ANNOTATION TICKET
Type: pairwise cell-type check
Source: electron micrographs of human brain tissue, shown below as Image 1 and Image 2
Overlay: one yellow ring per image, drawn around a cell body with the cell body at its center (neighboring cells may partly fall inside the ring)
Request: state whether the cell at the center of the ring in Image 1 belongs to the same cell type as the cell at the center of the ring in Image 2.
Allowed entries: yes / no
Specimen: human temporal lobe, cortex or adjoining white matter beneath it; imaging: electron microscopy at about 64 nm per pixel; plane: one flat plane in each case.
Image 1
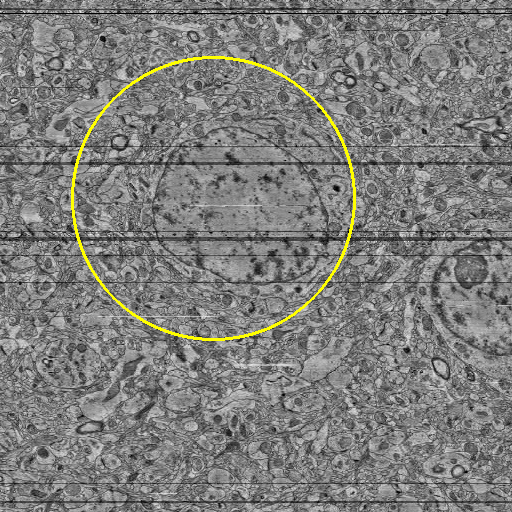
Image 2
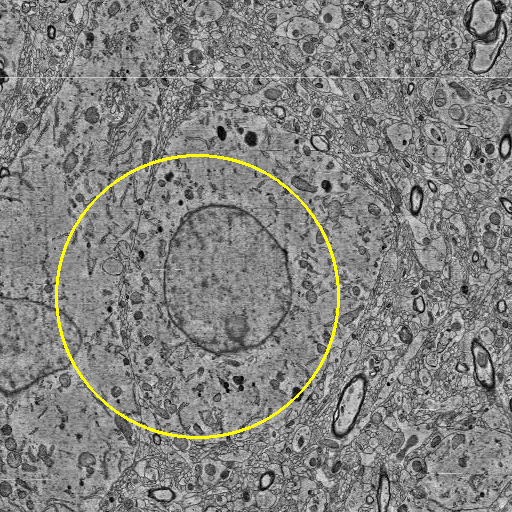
yes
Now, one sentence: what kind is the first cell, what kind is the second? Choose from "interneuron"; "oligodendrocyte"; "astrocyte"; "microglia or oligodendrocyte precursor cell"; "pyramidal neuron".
The cell in the first picture is a pyramidal neuron, and so is the one in the second.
